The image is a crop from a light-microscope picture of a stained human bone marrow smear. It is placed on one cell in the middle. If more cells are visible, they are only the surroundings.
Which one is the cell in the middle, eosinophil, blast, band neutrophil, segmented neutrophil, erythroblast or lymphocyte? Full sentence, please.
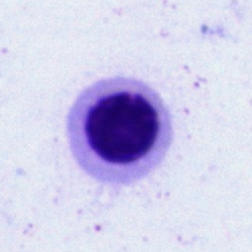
The cell at the heart of this crop is an erythroblast.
